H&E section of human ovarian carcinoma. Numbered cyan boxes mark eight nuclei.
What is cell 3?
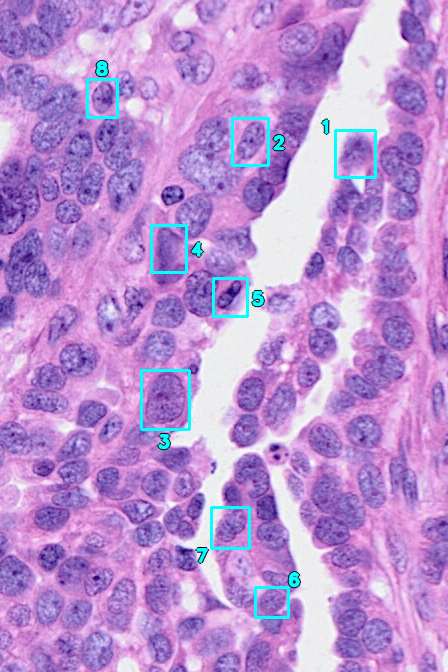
carcinoma cell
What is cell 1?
carcinoma cell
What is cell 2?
macrophage or monocyte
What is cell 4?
carcinoma cell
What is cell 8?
macrophage or monocyte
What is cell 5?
macrophage or monocyte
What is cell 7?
carcinoma cell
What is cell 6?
carcinoma cell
